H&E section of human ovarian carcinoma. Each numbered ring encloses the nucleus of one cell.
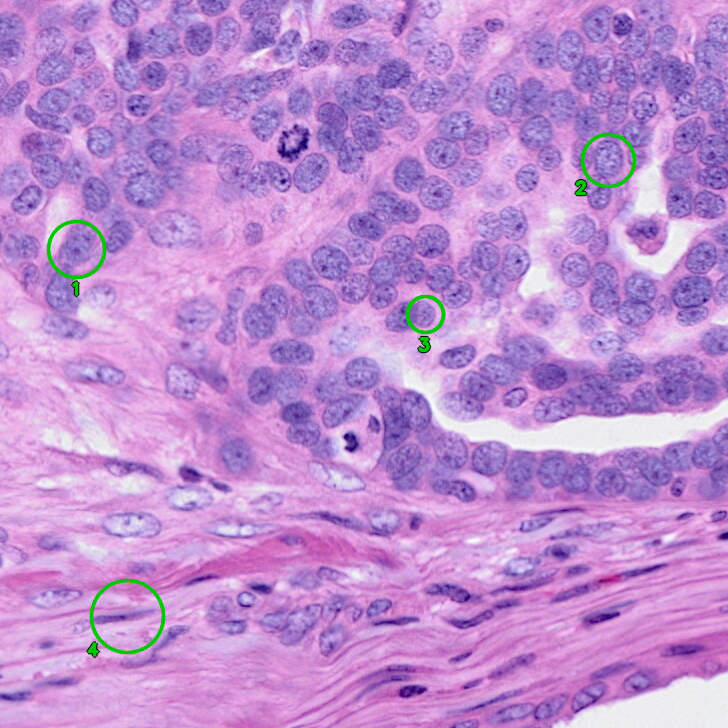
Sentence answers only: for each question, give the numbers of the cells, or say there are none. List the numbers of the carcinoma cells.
Classified as carcinoma cells are the cells numbered 1, 2 and 3.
